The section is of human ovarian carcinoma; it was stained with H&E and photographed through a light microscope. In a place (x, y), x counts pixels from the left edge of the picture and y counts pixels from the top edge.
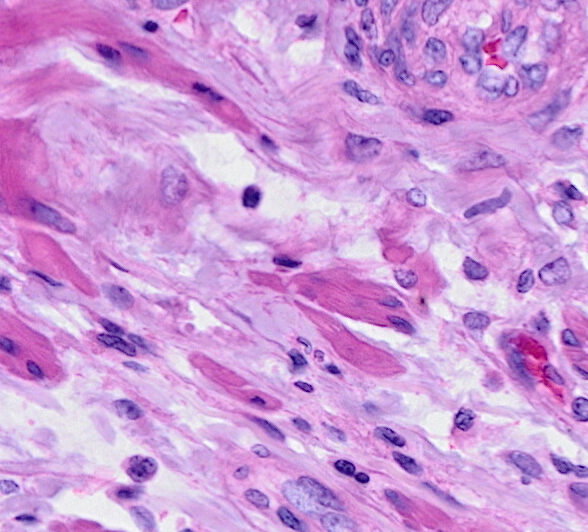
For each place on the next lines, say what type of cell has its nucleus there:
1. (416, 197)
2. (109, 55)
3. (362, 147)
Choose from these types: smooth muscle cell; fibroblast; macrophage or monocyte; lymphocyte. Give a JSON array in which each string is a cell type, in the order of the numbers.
["fibroblast", "smooth muscle cell", "fibroblast"]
